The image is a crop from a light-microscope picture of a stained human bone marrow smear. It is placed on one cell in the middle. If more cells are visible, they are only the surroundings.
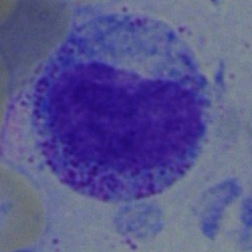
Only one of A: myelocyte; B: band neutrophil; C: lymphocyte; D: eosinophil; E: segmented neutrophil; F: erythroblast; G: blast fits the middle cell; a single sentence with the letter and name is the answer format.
As the central cell is a myelocyte, option A is correct.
